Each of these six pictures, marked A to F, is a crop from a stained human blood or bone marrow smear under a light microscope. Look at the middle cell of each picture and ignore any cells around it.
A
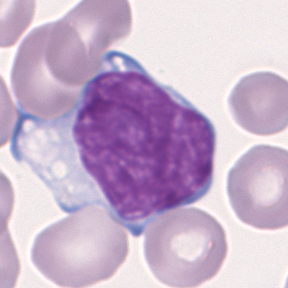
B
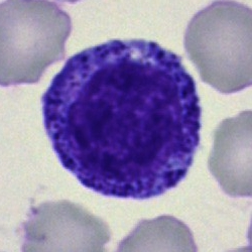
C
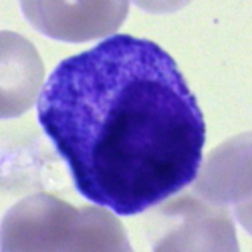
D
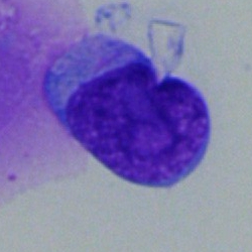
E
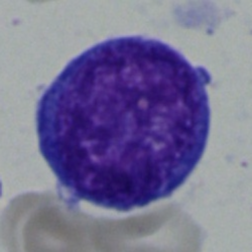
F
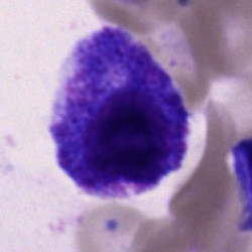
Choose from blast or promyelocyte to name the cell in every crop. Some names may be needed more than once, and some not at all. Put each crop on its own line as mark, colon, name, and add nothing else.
A: blast
B: promyelocyte
C: promyelocyte
D: blast
E: promyelocyte
F: promyelocyte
